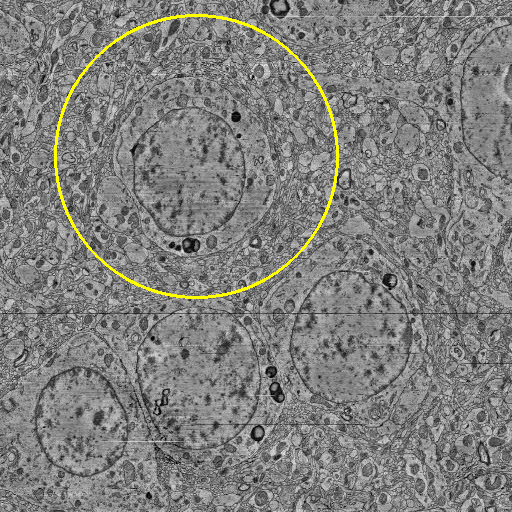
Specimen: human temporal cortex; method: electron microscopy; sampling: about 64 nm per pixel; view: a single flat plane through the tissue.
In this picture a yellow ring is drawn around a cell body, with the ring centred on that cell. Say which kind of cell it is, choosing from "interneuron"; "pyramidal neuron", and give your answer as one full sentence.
Here it is a pyramidal neuron that sits at the centre of the drawn yellow ring.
